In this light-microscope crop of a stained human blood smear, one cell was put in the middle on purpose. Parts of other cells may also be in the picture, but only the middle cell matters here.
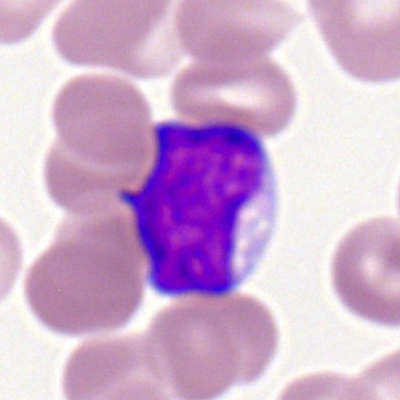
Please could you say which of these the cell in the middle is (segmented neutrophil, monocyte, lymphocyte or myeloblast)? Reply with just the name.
lymphocyte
